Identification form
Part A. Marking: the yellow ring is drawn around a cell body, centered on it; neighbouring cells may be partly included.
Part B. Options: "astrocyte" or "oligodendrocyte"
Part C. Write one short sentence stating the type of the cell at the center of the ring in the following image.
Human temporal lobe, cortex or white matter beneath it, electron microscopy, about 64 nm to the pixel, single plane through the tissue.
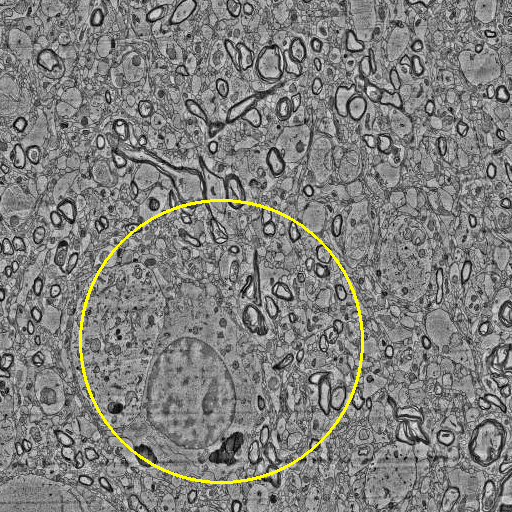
The center of the ring holds an oligodendrocyte.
